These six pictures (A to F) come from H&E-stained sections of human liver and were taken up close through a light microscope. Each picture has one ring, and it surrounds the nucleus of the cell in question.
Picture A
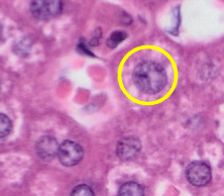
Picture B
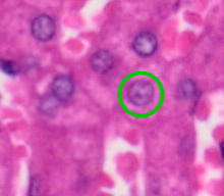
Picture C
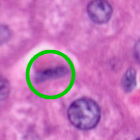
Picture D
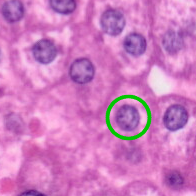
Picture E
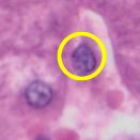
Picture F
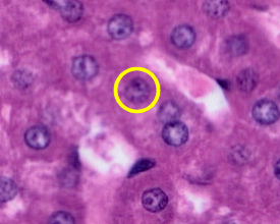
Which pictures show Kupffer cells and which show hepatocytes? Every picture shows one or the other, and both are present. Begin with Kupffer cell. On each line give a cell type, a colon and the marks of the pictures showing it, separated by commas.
Kupffer cell: C, E
hepatocyte: A, B, D, F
